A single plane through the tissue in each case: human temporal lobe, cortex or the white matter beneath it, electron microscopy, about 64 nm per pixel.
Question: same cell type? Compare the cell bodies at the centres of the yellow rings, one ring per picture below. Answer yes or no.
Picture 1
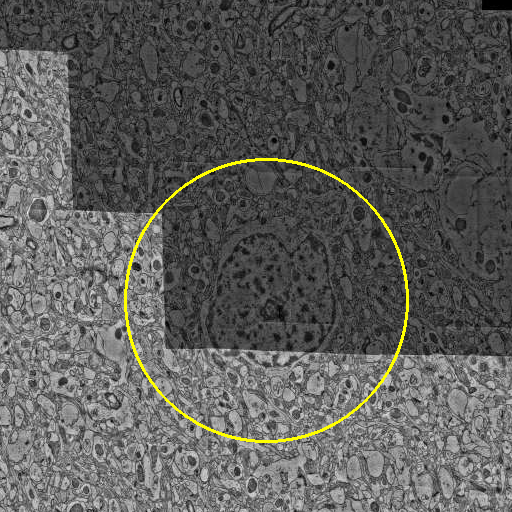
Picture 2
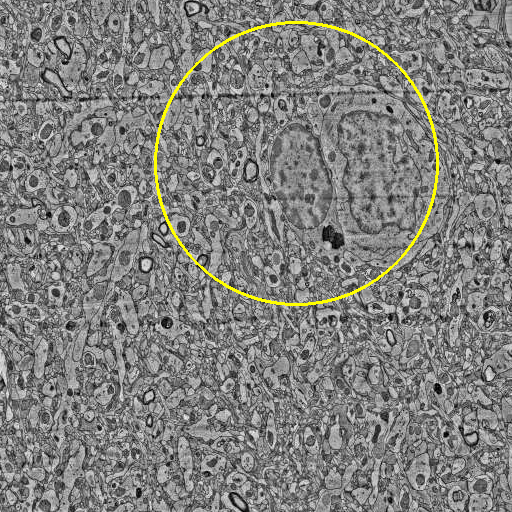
no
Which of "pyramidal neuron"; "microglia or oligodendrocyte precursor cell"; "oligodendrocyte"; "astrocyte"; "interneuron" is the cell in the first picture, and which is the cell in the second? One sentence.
The two differ: the first cell is a microglial cell or oligodendrocyte precursor cell and the second is an oligodendrocyte.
